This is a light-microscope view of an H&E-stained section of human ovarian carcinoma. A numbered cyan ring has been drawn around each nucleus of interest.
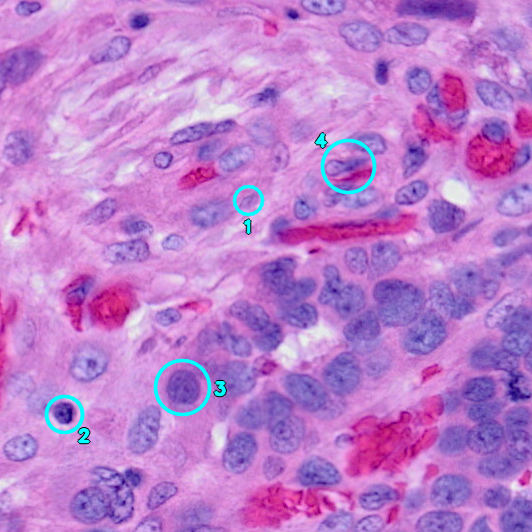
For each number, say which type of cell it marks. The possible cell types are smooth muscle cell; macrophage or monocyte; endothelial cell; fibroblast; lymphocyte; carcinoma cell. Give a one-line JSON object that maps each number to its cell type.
{"1": "fibroblast", "2": "lymphocyte", "3": "carcinoma cell", "4": "endothelial cell"}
